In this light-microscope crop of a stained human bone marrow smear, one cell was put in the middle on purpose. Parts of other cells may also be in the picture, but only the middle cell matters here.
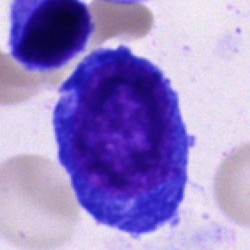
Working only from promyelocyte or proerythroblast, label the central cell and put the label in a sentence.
To answer, the cell in the center of the crop is a proerythroblast.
